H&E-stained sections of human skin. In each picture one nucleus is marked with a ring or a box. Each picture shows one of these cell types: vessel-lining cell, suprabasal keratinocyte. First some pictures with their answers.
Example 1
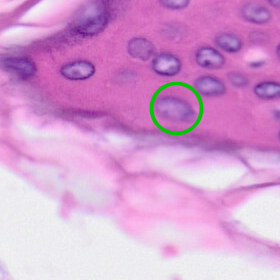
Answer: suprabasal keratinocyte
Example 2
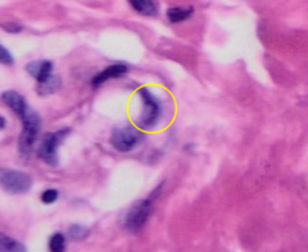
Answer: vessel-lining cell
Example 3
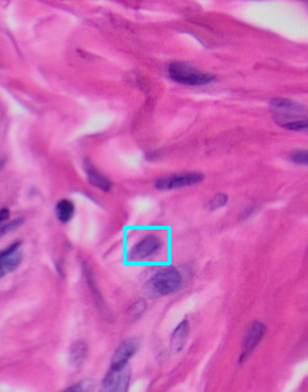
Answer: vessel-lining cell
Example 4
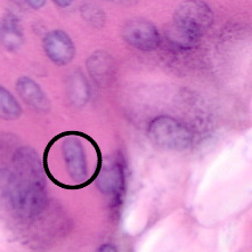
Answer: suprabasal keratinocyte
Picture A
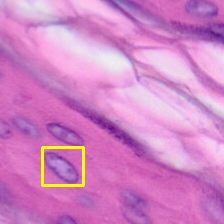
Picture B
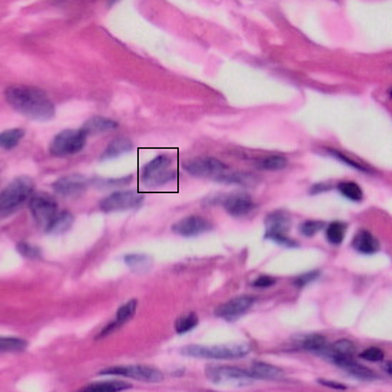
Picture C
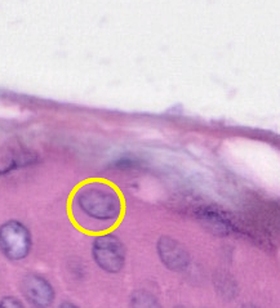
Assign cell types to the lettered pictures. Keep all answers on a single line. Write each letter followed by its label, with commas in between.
A suprabasal keratinocyte, B vessel-lining cell, C suprabasal keratinocyte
